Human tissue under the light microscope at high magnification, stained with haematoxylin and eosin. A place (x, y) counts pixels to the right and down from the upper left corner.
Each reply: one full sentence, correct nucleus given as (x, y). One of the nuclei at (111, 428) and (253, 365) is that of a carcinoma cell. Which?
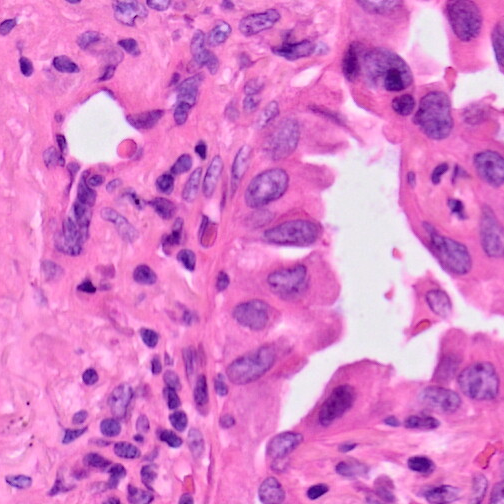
The nucleus of a carcinoma cell is the one at (253, 365).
